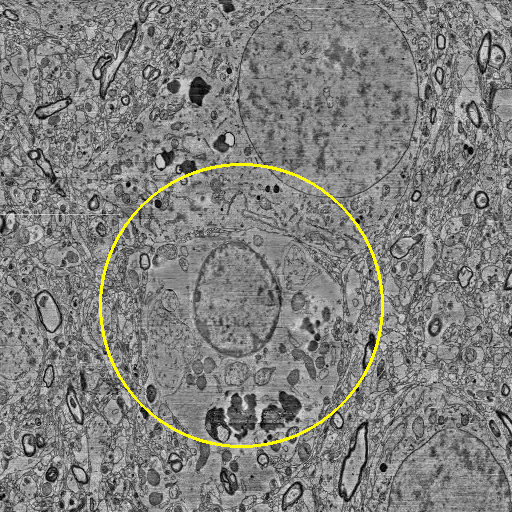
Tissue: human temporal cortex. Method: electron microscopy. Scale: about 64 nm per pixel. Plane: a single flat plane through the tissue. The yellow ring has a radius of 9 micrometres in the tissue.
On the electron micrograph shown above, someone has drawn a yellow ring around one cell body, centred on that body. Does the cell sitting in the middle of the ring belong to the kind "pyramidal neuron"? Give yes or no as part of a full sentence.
No, the cell located in the middle of the ring in the micrograph is of a different kind.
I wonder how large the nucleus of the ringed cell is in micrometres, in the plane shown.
The nucleus has a long axis of about 7 micrometres and a short axis of about 6 micrometres in this plane.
